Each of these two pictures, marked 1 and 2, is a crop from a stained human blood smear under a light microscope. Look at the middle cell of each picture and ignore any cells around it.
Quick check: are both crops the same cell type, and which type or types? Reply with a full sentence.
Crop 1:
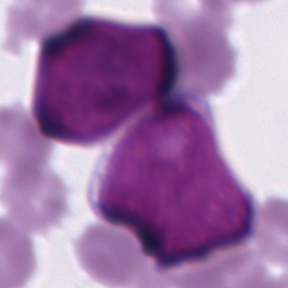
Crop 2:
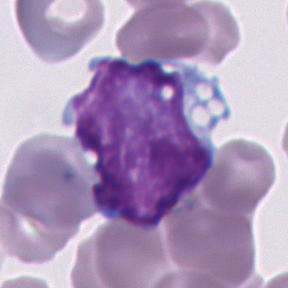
Yes, the same answer goes for both crops, namely myeloblasts.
